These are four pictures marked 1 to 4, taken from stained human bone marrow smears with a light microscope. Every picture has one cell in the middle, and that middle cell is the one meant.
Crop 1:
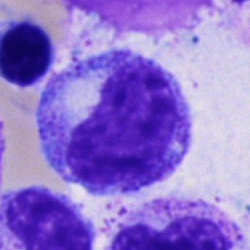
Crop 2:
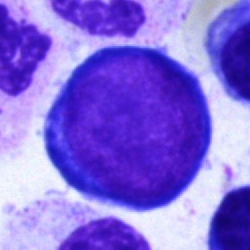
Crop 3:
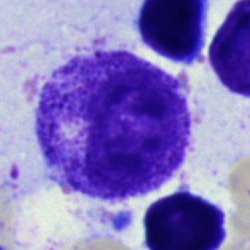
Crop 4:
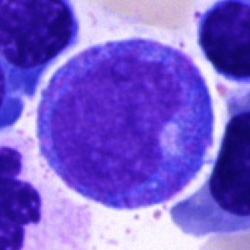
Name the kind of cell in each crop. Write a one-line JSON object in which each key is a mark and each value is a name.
{"1": "promyelocyte", "2": "proerythroblast", "3": "promyelocyte", "4": "promyelocyte"}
